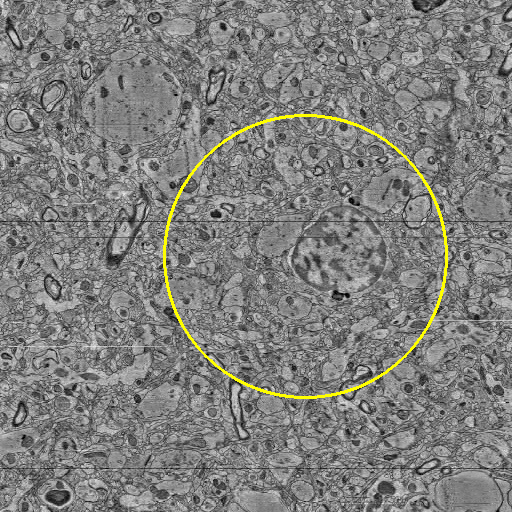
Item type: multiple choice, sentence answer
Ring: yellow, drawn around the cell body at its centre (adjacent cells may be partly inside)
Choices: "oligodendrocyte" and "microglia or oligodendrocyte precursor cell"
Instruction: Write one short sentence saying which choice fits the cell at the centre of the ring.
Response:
This ring is drawn around a microglial cell or oligodendrocyte precursor cell.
